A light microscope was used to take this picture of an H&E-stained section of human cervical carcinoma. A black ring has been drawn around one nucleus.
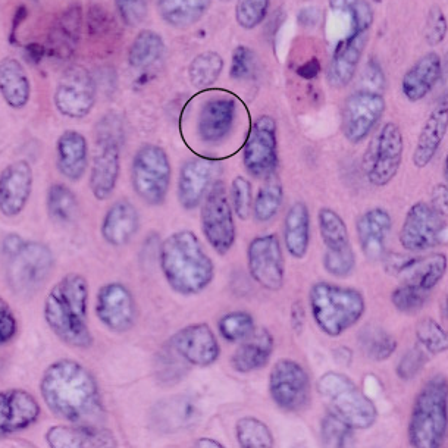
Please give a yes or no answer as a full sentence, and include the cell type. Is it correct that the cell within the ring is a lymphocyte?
No, it is as a squamous carcinoma cell, not a lymphocyte, that the cell within the ring is classified.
